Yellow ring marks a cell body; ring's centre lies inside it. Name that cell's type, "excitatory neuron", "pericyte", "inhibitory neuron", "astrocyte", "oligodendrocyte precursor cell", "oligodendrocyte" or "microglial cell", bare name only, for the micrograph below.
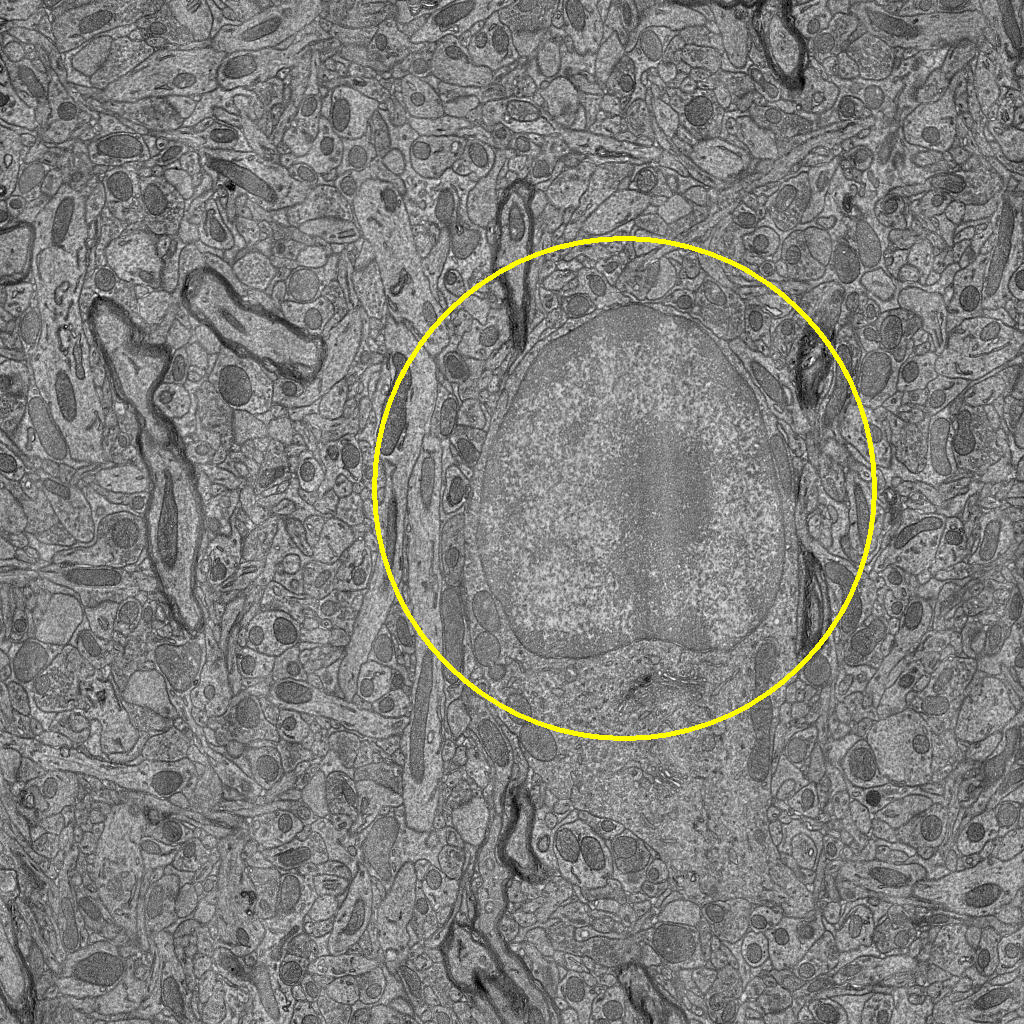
oligodendrocyte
